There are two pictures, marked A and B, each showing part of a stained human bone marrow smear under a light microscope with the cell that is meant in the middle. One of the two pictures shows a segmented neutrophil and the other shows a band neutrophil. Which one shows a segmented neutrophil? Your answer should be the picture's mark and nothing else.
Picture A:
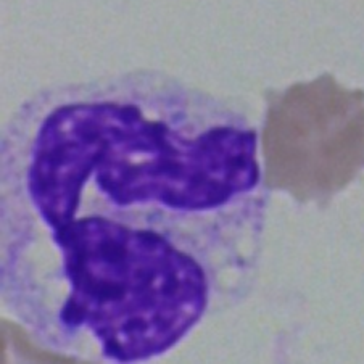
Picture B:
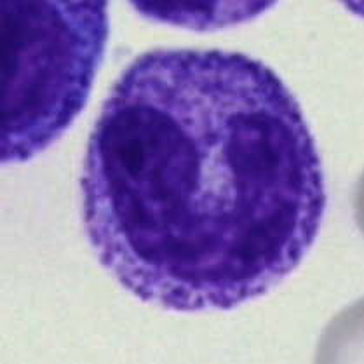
A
